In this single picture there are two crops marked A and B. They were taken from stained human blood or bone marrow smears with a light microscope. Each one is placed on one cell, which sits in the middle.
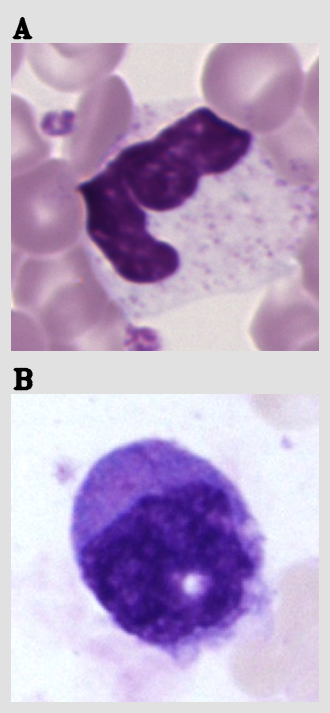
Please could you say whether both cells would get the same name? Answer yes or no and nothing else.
no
